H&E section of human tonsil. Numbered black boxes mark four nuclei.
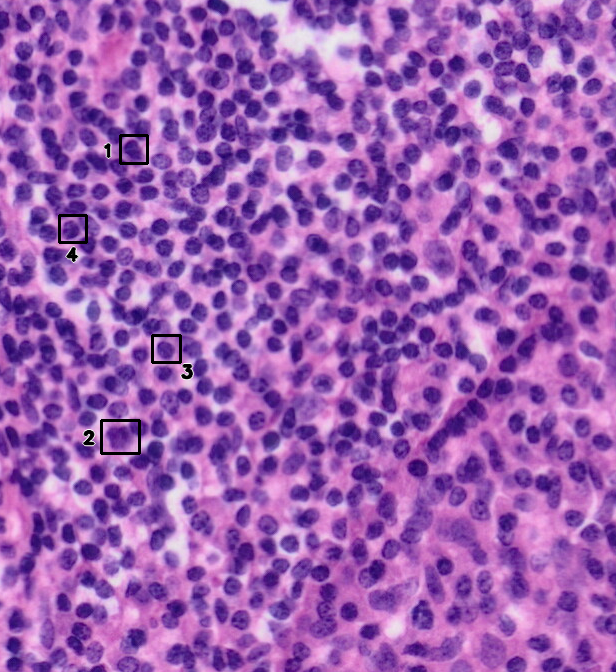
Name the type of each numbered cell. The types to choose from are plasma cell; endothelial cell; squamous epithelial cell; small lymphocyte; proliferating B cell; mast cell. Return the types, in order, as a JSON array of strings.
["small lymphocyte", "proliferating B cell", "small lymphocyte", "small lymphocyte"]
